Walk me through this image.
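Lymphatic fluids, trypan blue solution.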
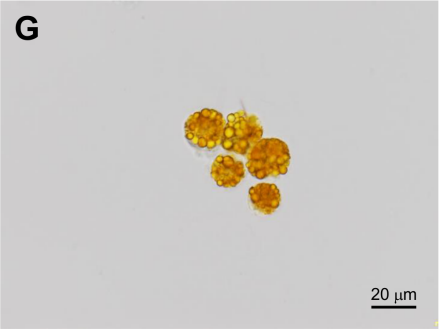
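A small cluster of about six rounded cells lies on a pale background, each crowded with many small, round, refractile yellow-orange granules. The granules fill the cytoplasm so densely that the cells look like bunches of beads, with no blue dye taken up by any of them. These granules are lipid droplets packed in the cytoplasm of the cells.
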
